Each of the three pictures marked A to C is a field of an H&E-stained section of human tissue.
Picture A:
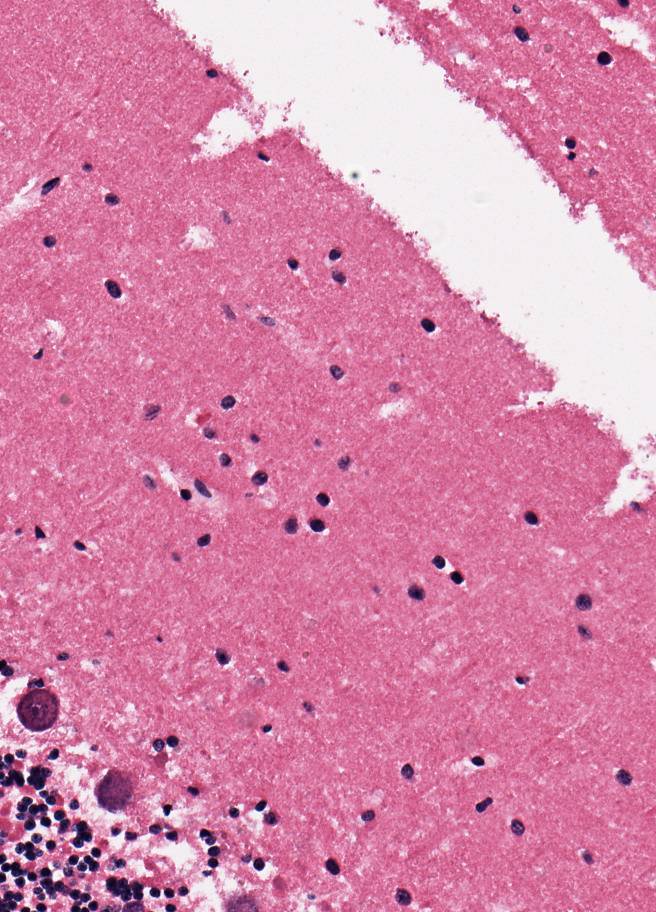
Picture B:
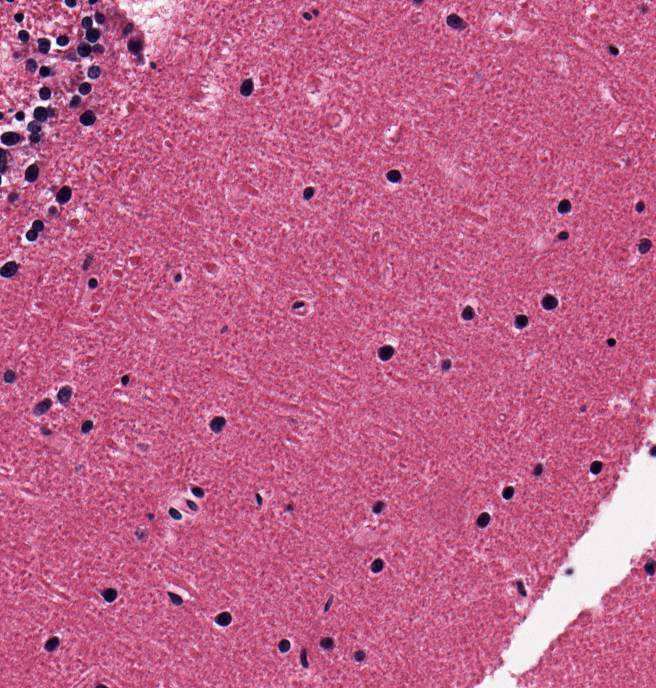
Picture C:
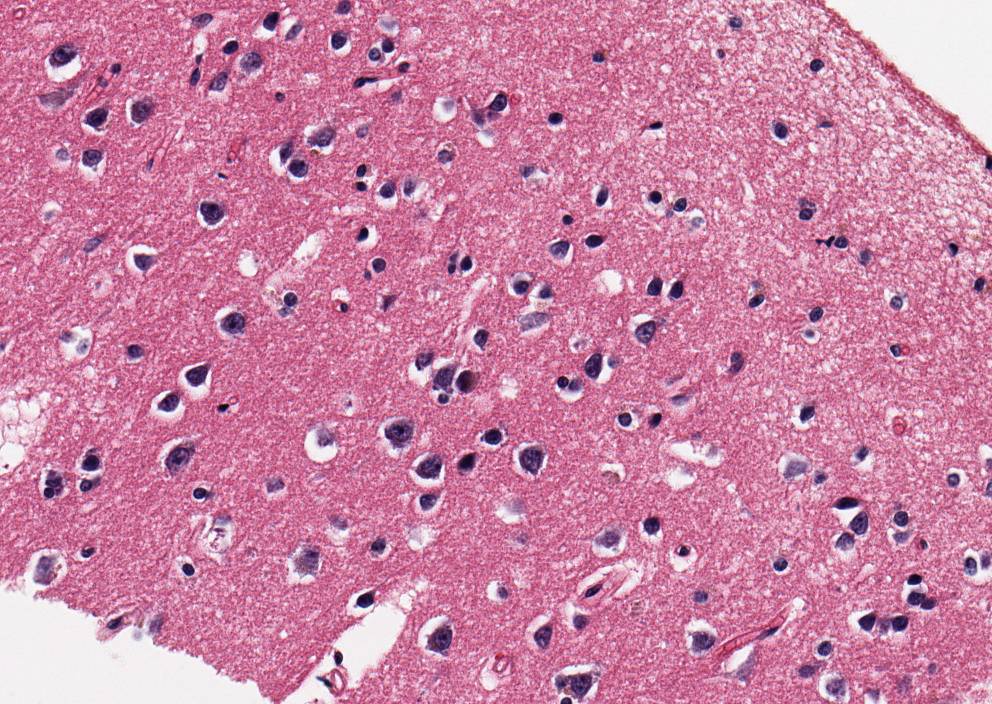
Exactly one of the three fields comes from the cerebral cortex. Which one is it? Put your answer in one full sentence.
The one that comes from the cerebral cortex is picture C.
